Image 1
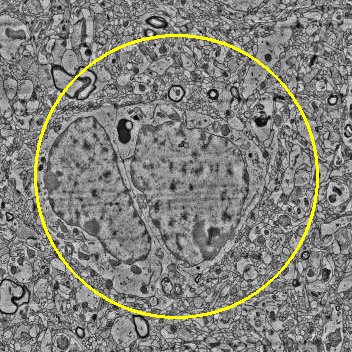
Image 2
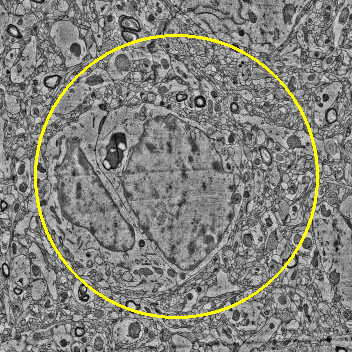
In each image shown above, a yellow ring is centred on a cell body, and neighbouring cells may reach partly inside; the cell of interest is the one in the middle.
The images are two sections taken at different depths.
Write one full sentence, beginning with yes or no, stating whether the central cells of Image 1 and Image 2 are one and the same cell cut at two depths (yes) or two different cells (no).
Yes, what the two rings mark is one cell.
